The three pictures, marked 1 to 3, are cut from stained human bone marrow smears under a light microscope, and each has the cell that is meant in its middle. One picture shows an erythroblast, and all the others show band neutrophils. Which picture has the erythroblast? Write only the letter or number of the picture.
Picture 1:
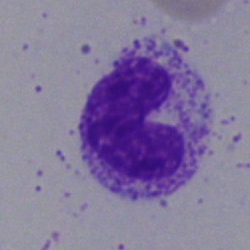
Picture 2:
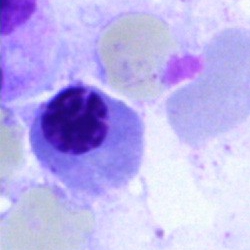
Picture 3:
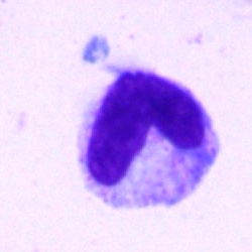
2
